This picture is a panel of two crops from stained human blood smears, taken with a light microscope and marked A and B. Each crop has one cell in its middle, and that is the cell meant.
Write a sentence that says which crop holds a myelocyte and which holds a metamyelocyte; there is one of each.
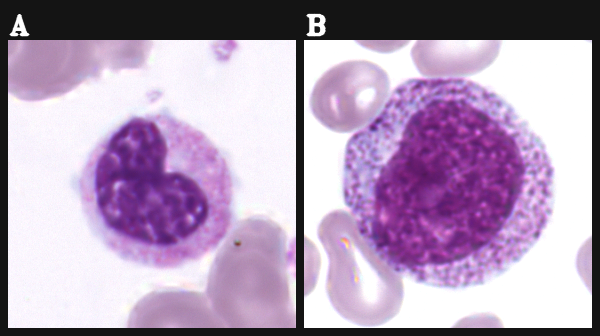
Identification: crop A is a metamyelocyte; crop B is a myelocyte.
